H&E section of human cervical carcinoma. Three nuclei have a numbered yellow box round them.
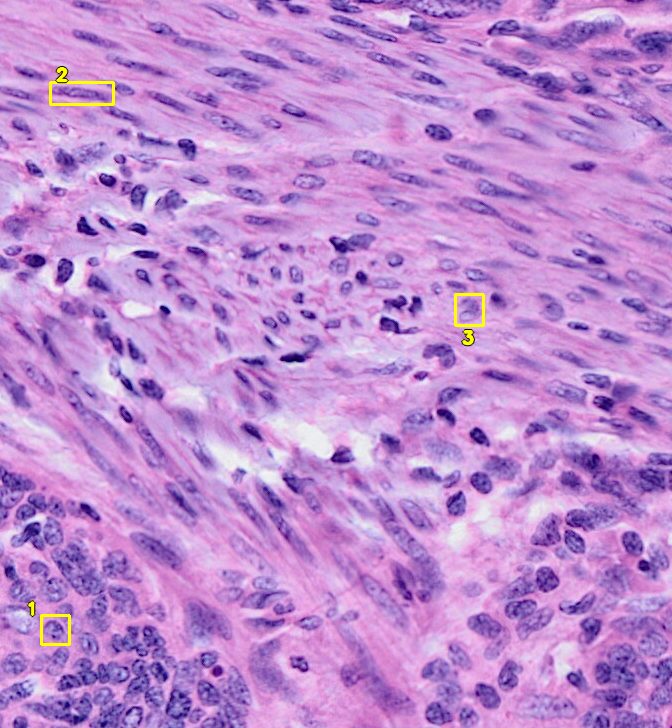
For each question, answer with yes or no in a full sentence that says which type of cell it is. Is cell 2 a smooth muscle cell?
Yes, the cell identified by number 2 is a smooth muscle cell.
